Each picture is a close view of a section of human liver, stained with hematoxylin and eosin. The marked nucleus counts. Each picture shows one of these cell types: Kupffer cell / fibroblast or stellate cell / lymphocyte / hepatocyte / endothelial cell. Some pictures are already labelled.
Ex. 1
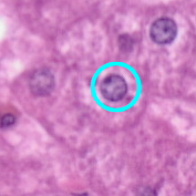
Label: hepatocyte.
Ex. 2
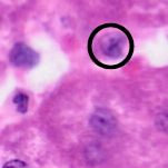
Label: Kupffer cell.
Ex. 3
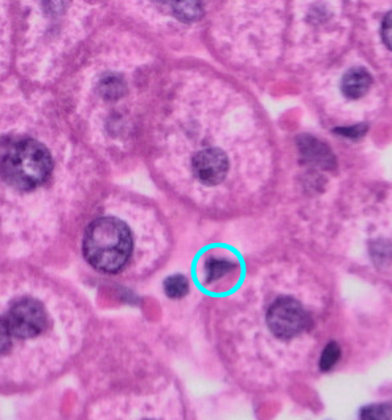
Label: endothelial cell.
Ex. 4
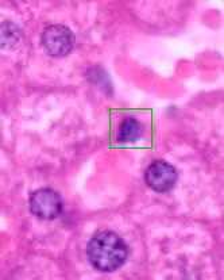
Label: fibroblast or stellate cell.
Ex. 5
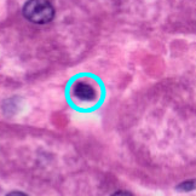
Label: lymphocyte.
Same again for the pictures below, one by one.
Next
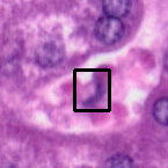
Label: Kupffer cell.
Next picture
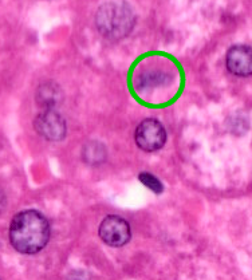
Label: endothelial cell.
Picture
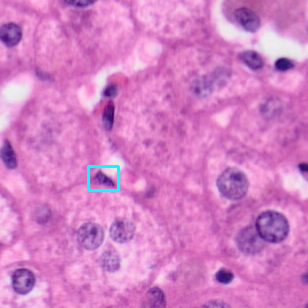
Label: endothelial cell.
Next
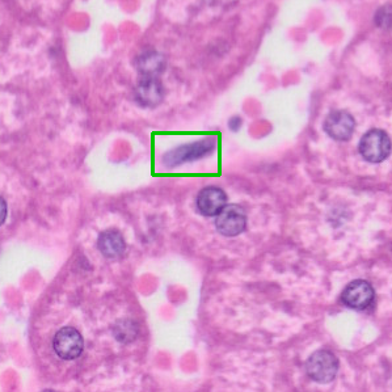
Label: Kupffer cell.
